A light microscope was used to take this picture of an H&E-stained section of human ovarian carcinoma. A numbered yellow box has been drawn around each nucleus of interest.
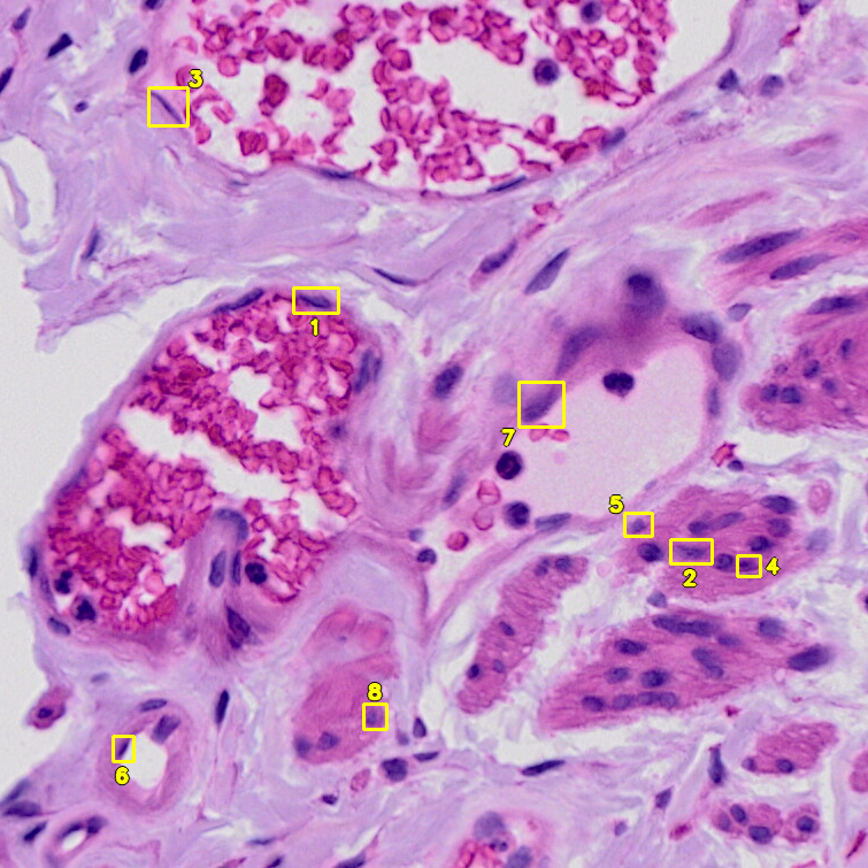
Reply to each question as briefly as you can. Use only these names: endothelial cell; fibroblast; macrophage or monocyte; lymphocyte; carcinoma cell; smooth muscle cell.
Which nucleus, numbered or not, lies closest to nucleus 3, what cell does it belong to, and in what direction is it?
a lymphocyte, above and to the left of nucleus 3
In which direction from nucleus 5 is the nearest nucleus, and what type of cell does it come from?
a smooth muscle cell below and to the right of nucleus 5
